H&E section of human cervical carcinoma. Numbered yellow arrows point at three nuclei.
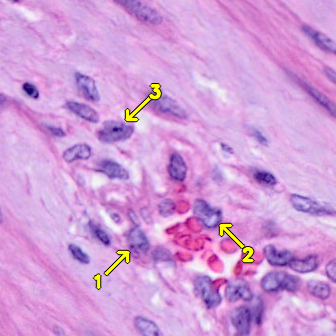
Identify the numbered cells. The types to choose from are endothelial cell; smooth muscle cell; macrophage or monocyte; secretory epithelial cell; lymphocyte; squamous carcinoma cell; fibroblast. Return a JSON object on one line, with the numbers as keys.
{"1": "endothelial cell", "2": "endothelial cell", "3": "macrophage or monocyte"}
